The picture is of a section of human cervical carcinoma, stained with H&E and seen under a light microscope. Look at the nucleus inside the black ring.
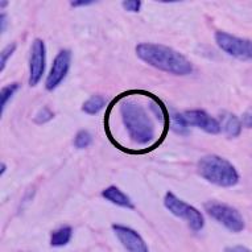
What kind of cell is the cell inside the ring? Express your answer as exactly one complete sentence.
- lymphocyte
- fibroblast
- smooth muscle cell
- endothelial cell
It is a fibroblast that the cell inside the ring represents.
